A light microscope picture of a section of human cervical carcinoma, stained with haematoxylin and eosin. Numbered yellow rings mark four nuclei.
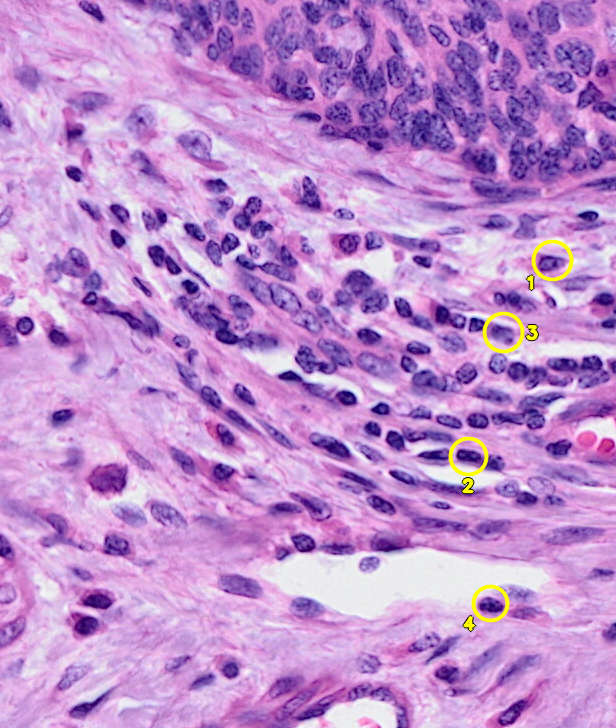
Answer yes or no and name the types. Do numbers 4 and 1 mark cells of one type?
No, cell 4 is a lymphocyte, but cell 1 is a macrophage or monocyte.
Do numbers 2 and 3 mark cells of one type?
Yes: cells 2 and 3 are both lymphocytes.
